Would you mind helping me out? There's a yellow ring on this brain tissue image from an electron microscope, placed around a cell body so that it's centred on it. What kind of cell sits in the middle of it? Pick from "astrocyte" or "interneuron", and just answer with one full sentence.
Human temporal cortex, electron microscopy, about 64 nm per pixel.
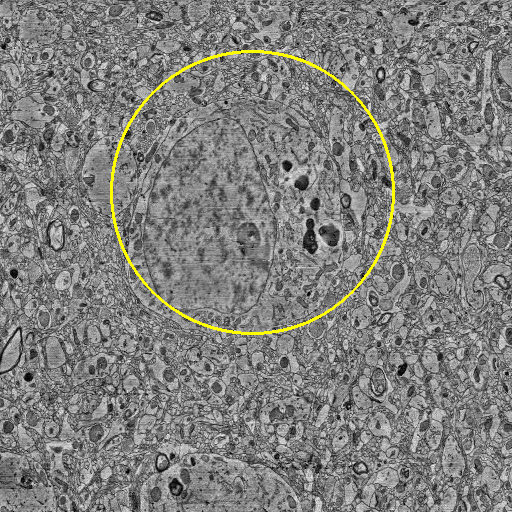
What sits in the middle of that yellow ring is an interneuron, from your choices.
